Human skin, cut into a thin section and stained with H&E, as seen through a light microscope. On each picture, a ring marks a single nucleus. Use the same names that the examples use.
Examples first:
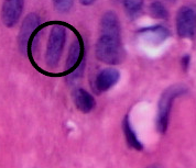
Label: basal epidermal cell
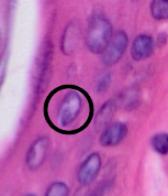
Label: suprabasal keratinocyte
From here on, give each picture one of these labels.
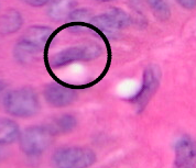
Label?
basal epidermal cell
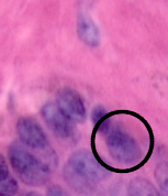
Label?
basal epidermal cell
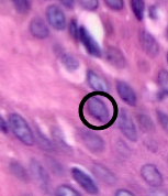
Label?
basal epidermal cell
